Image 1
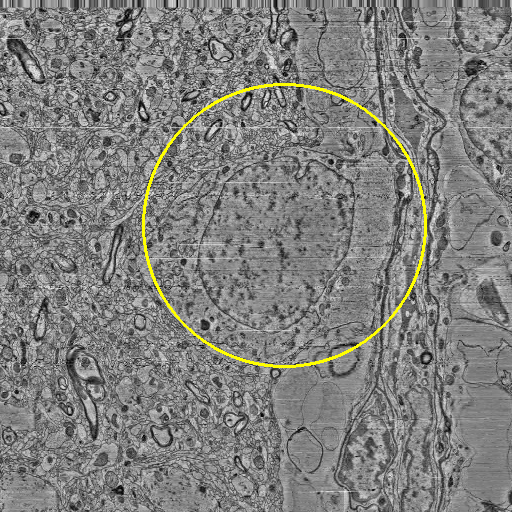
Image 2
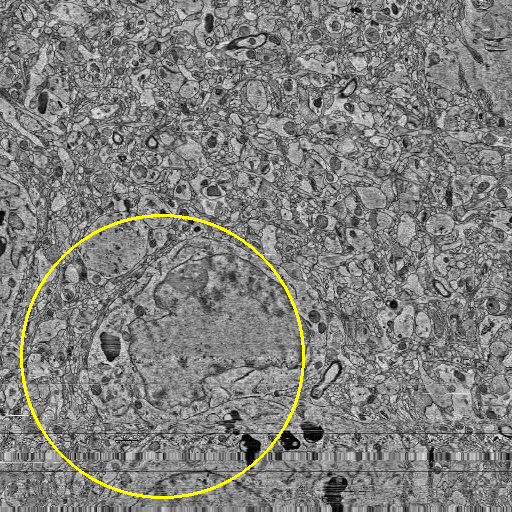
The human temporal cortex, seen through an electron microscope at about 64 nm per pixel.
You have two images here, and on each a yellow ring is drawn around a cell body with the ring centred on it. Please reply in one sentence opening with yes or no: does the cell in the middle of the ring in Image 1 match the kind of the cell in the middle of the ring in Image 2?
No, the two images show cells of two kinds at the centres of their rings.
